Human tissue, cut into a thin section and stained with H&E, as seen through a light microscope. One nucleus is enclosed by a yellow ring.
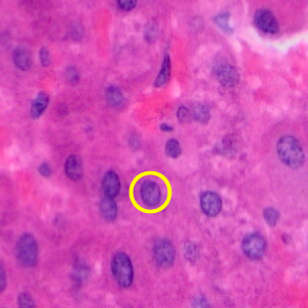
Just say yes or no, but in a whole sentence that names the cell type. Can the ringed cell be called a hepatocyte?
Yes, correct on this one: the ringed cell is a hepatocyte.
